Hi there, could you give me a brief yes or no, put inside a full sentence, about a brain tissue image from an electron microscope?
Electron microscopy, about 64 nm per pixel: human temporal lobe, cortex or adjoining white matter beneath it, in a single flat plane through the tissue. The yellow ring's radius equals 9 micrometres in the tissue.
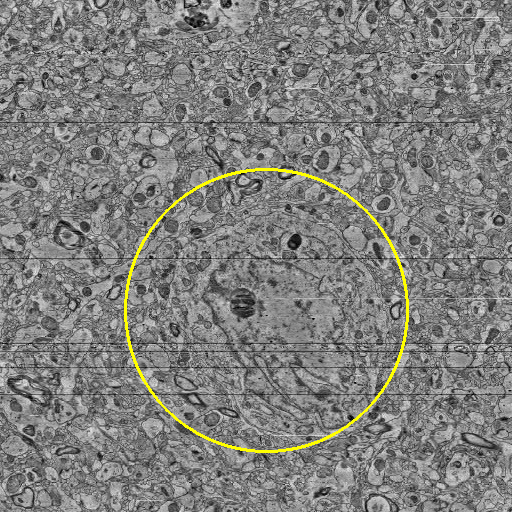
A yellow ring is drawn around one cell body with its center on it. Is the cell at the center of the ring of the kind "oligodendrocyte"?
No, the cell found at the center of the yellow ring is of a different kind.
